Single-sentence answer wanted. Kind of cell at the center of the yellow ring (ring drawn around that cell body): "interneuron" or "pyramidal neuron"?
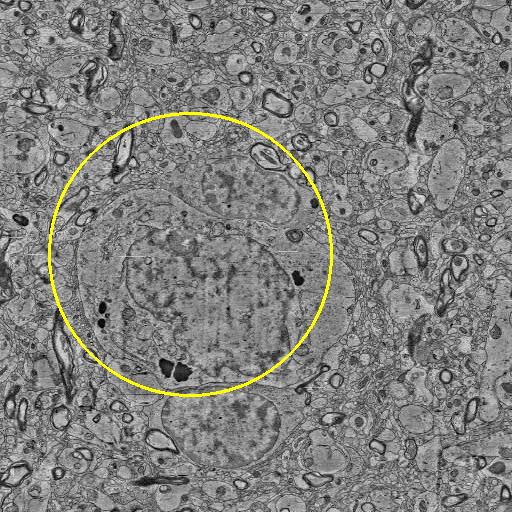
The cell centered in the ring is an interneuron.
